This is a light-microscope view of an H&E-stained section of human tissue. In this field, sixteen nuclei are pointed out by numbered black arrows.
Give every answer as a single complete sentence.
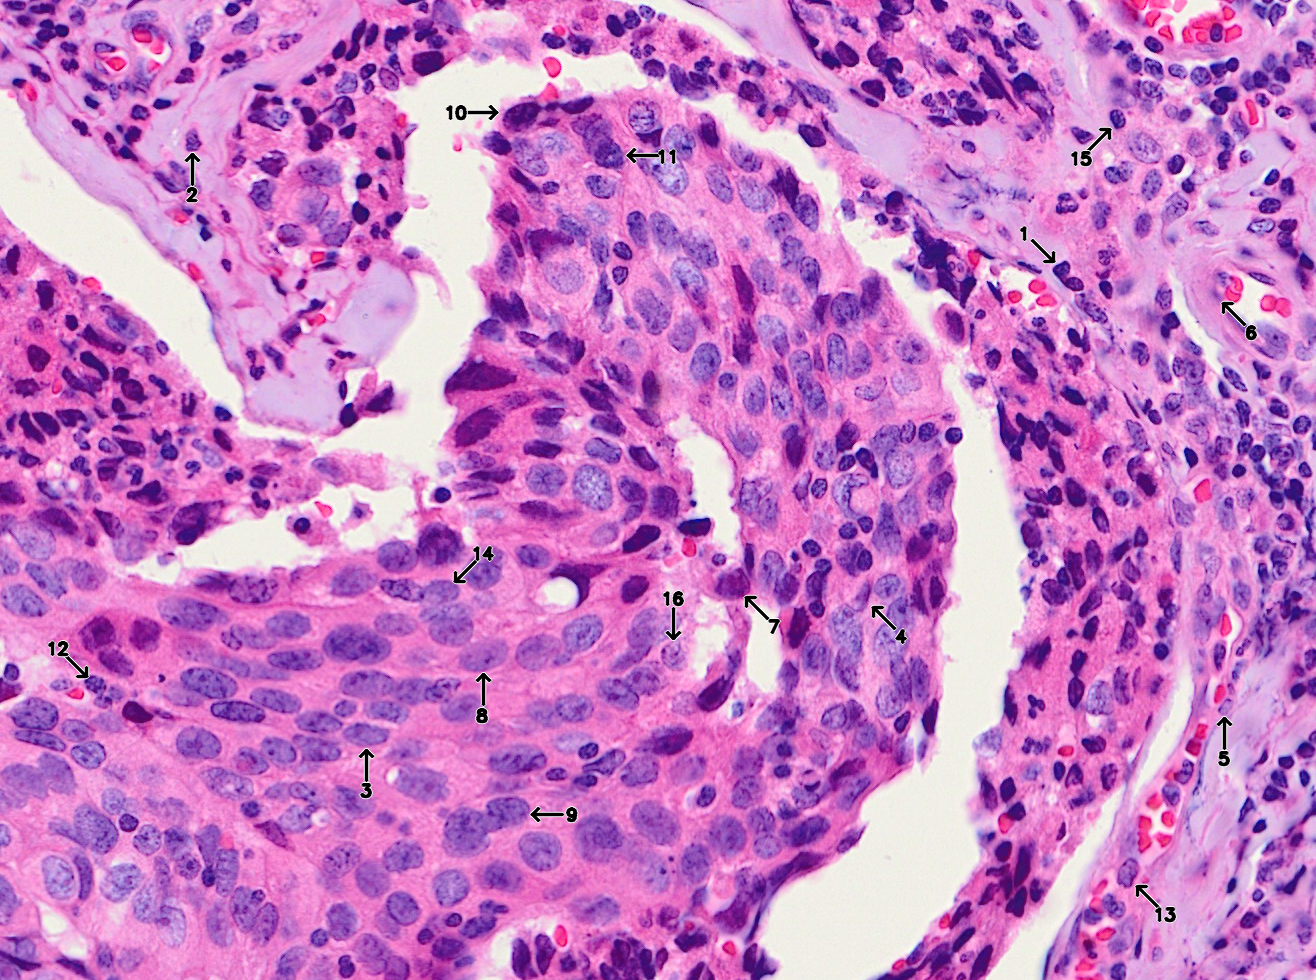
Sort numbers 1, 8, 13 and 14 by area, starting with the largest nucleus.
Largest first, the order by area is 8, 14, 13, 1.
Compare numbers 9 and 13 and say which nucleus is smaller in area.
With nucleus 9 about 3 times its size, nucleus 13 is the smaller of the two.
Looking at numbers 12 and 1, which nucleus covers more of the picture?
Number 12 is larger; its area is about 1.5 times that of number 1.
